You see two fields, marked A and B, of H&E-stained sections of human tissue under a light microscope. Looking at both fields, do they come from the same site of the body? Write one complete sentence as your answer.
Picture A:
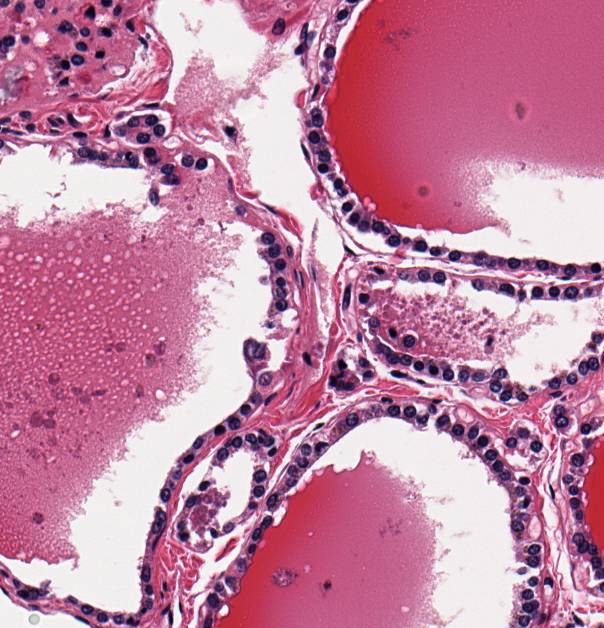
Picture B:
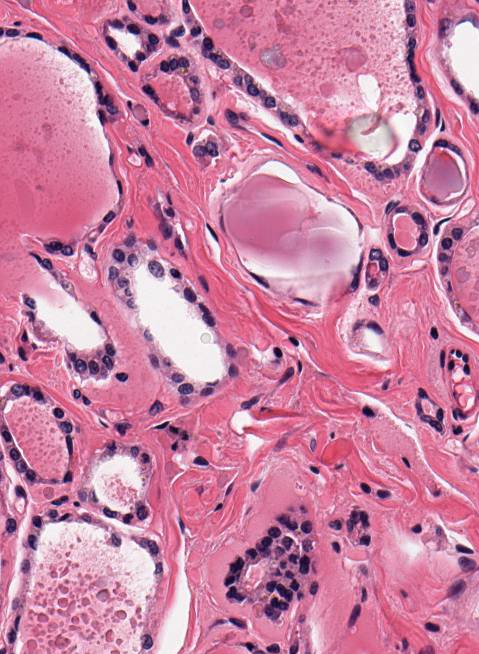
Yes, the two fields both come from the thyroid.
